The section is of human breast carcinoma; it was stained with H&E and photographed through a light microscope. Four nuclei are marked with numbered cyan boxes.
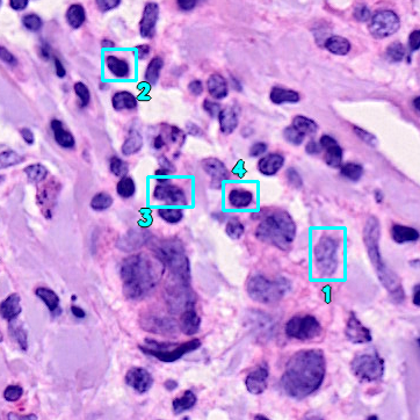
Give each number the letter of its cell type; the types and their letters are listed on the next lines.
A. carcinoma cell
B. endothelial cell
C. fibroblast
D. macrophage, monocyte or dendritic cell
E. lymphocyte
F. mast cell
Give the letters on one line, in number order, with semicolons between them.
D; E; E; E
